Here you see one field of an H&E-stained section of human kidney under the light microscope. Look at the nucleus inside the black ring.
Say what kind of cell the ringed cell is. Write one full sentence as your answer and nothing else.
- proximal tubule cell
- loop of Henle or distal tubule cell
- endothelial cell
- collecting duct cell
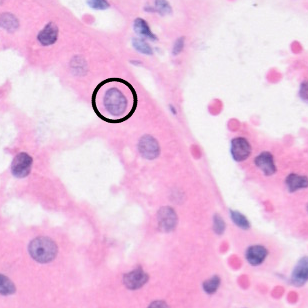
Students should answer that the ringed cell is a proximal tubule cell.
